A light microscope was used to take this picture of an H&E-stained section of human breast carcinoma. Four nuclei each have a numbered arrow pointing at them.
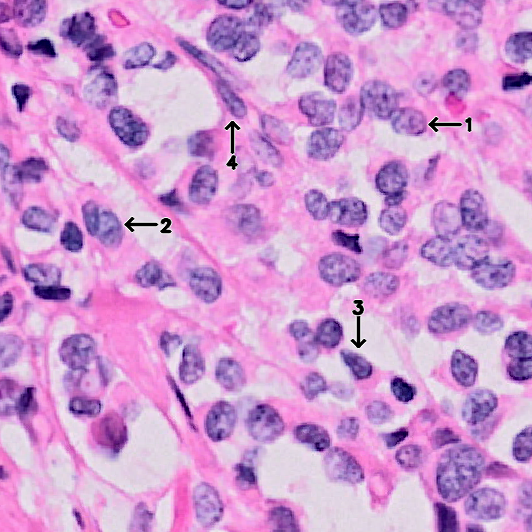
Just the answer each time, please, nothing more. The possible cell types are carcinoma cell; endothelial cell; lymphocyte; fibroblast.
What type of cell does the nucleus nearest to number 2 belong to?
lymphocyte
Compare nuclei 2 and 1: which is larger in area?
2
